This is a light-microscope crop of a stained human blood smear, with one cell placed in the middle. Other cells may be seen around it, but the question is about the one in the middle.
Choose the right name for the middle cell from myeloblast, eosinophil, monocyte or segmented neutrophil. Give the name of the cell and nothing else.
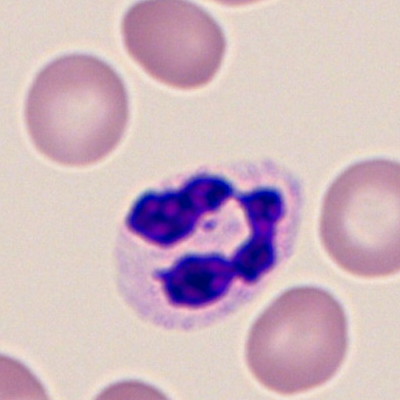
segmented neutrophil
